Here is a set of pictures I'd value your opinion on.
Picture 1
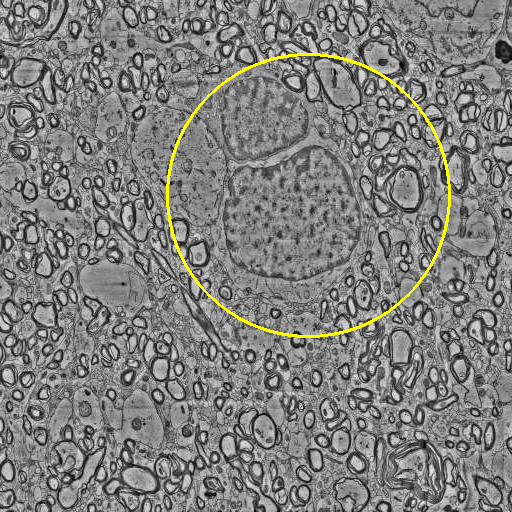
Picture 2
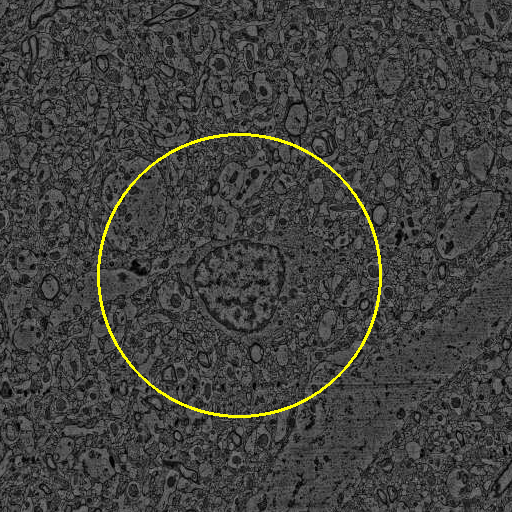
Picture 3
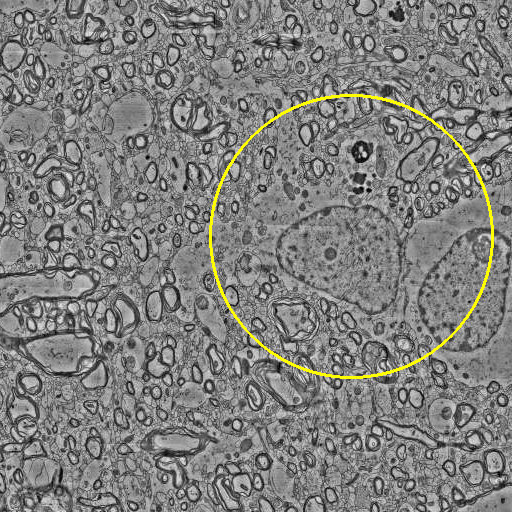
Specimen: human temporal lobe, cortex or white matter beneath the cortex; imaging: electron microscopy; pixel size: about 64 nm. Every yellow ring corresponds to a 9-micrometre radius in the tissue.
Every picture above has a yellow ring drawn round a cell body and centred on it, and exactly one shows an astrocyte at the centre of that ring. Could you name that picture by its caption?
Picture 3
